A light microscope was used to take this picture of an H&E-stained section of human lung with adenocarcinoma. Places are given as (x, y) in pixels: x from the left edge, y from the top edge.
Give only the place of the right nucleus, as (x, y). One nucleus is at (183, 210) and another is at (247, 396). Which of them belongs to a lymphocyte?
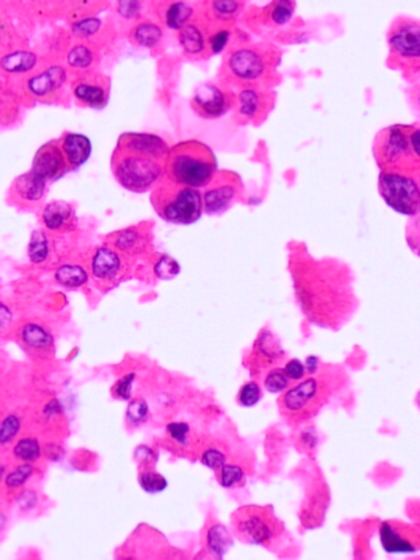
(247, 396)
